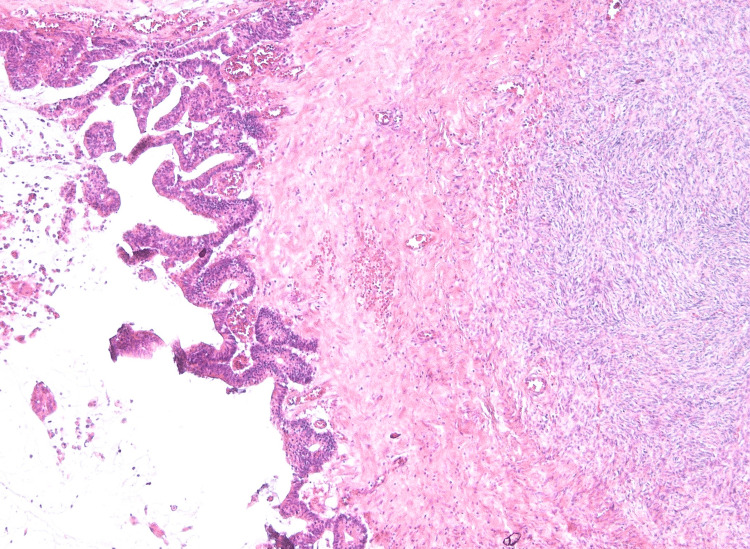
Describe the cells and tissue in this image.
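This low-power section of ovary shows a focus of tumor growth on the ovarian capsule. On the left, an epithelial proliferation forms branching, finger-like papillary folds. They are lined by crowded cells with dark purple, stratified nuclei, and they border an open space that holds some loose debris. Beneath the epithelium lies a broad, pale pink band of loosely fibrous connective tissue with scattered small vessels and a patch of red blood cells. On the right, this band gives way to denser, more purple parenchyma. There, closely packed spindle-shaped cells with elongated nuclei are arranged in swirling, whorled fascicles.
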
